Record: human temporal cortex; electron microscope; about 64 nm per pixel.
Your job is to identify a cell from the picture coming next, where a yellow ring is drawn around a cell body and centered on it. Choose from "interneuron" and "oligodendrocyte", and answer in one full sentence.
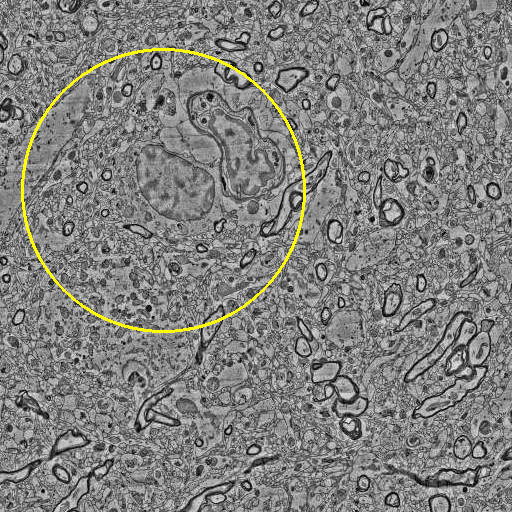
Centered in the yellow ring of the picture is the body of an oligodendrocyte.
